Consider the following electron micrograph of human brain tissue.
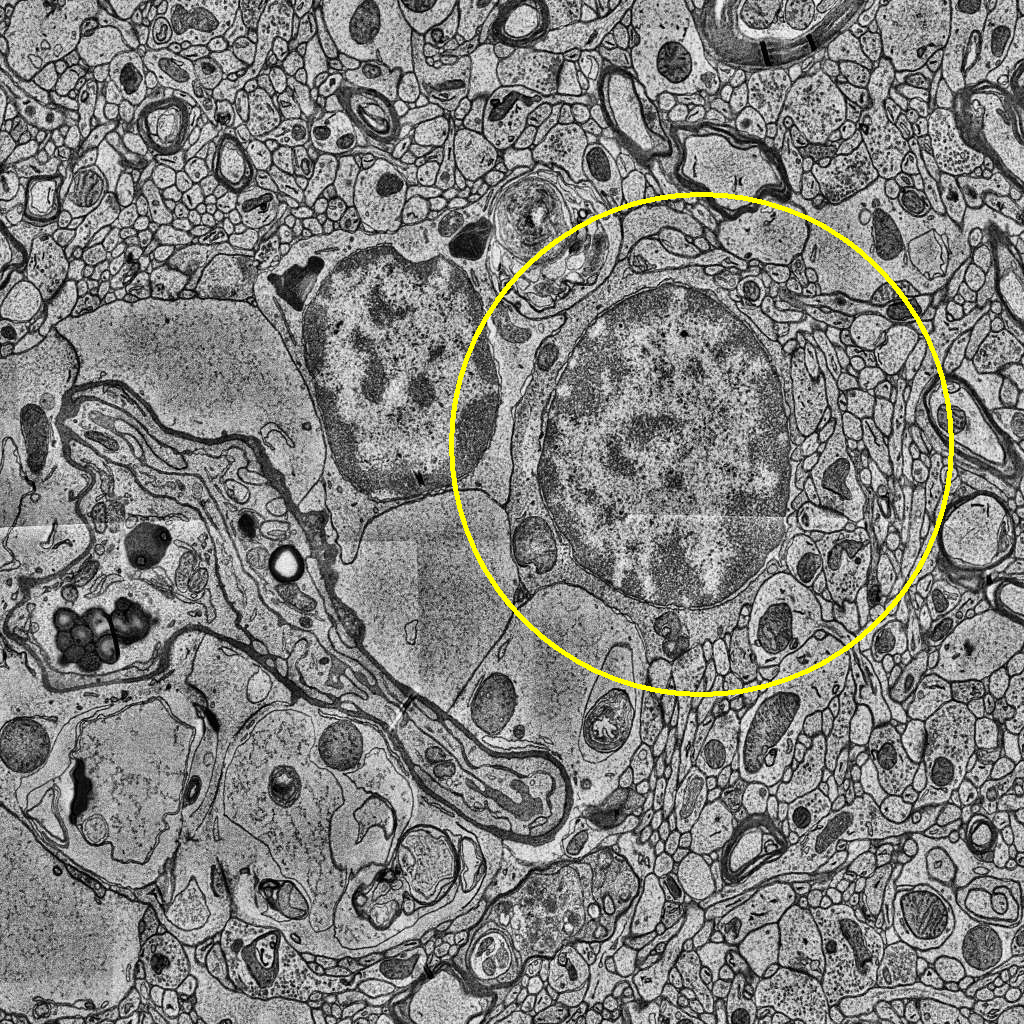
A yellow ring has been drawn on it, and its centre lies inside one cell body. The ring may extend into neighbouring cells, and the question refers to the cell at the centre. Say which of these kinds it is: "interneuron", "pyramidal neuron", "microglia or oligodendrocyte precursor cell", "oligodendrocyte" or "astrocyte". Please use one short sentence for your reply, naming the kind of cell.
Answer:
The centre of the ring falls on an oligodendrocyte.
